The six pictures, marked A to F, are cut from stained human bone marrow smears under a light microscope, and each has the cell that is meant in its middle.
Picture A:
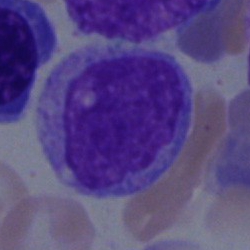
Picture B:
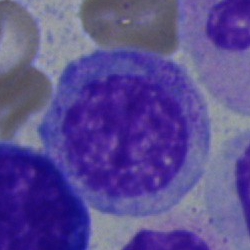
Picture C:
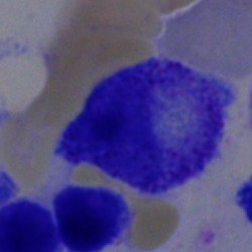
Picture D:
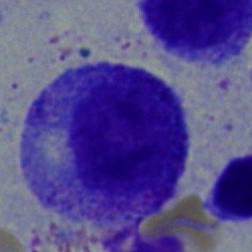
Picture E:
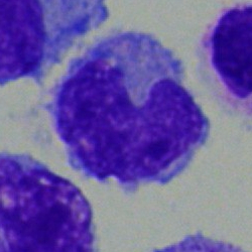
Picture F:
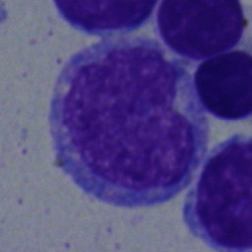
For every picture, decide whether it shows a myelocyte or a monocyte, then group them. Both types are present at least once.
A: monocyte
B: myelocyte
C: myelocyte
D: myelocyte
E: monocyte
F: monocyte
